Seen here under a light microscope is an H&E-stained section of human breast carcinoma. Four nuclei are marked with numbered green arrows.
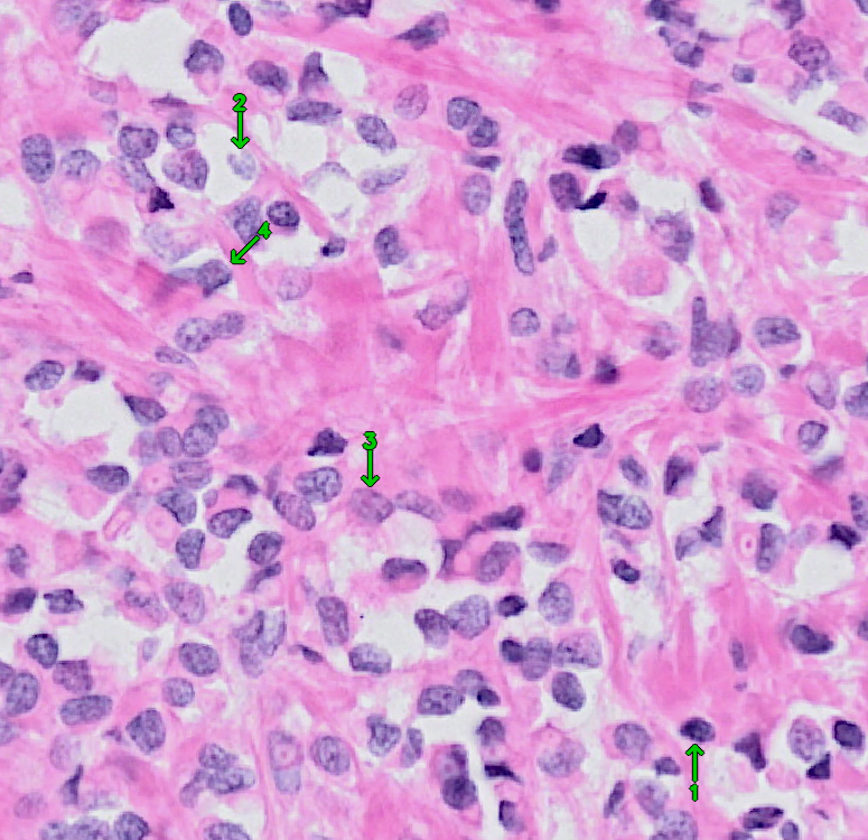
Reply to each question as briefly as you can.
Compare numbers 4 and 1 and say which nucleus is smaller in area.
1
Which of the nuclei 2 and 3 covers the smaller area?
2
